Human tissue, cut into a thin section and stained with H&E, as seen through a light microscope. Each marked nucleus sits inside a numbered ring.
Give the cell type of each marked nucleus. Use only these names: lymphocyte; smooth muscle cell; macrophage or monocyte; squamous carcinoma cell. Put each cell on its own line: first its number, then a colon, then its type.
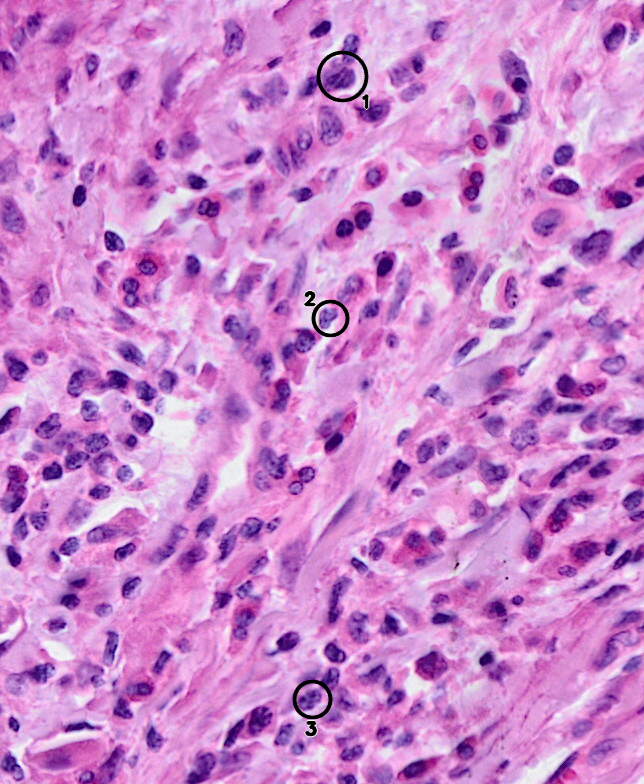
1: macrophage or monocyte
2: lymphocyte
3: lymphocyte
